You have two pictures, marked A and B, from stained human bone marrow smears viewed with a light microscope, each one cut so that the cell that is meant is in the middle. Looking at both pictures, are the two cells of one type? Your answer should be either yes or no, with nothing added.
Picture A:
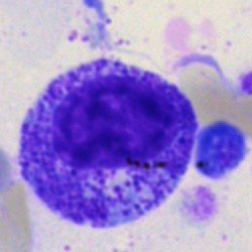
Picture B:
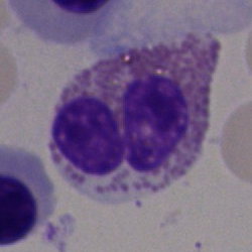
no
